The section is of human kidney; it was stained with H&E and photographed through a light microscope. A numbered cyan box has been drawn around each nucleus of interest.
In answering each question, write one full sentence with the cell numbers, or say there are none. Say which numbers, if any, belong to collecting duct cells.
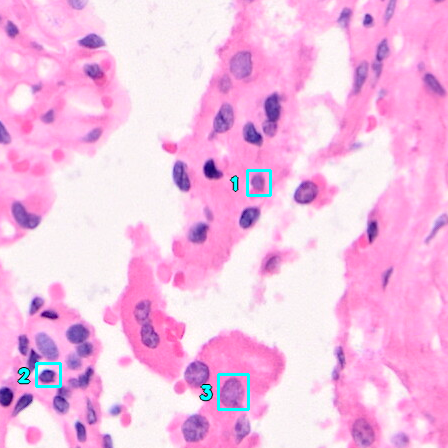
The numbered set holds no collecting duct cells whatsoever.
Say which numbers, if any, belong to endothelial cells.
The cells the numbers 1 and 2 point to are endothelial cells.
